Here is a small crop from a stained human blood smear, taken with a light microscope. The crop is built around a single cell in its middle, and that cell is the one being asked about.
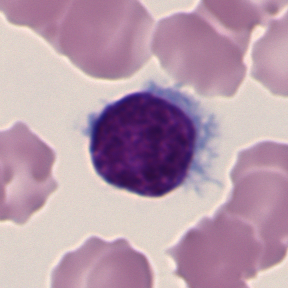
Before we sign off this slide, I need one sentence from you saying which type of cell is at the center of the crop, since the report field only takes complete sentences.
Here the centrally located cell is a hairy cell.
